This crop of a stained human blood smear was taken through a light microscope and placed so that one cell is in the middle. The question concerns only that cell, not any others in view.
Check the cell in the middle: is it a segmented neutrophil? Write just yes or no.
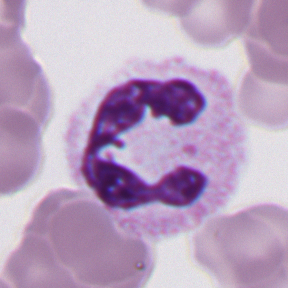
yes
